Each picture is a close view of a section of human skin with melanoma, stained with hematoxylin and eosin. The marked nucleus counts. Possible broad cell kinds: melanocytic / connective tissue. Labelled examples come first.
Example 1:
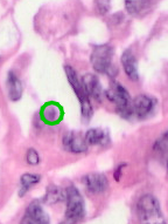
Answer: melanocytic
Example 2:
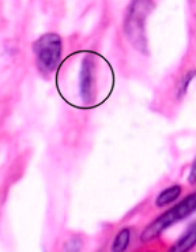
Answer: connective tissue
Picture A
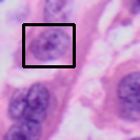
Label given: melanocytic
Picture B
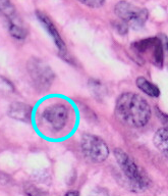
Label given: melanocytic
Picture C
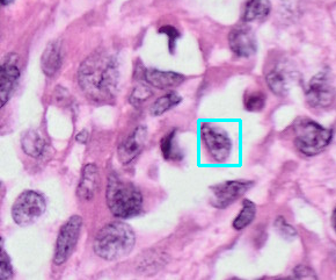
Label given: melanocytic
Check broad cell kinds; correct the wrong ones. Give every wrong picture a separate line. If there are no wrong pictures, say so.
No label is wrong.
